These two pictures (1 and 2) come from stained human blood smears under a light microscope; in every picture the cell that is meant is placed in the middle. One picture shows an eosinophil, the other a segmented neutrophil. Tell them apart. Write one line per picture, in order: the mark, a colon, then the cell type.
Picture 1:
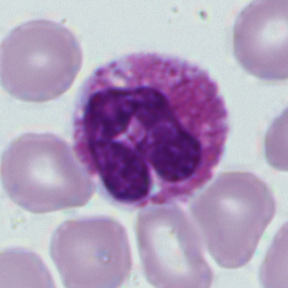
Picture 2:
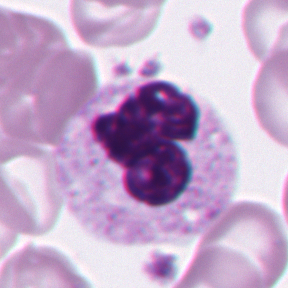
1: eosinophil
2: segmented neutrophil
